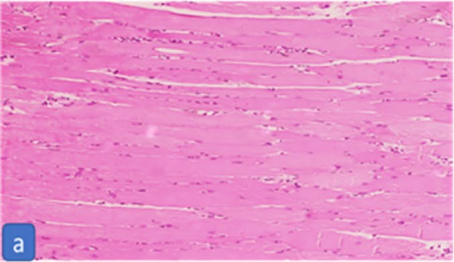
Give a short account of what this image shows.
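This is skeletal muscle cut along its length, with long pink fibres lying side by side in parallel. Slender, elongated dark nuclei lie along the edges of the fibres, flattened in the direction the fibres run. Narrow pale clefts separate neighbouring fibres. There are no clusters of small round cells and no rounded cysts between the fibres, so the tissue looks normal.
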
